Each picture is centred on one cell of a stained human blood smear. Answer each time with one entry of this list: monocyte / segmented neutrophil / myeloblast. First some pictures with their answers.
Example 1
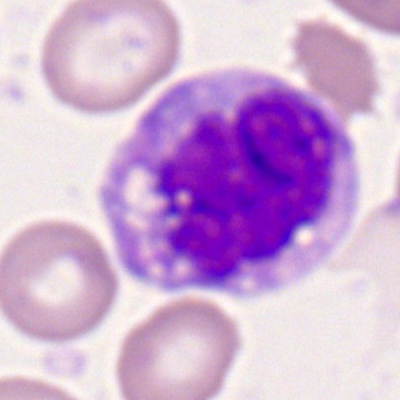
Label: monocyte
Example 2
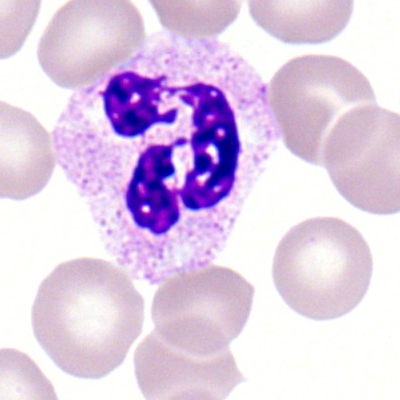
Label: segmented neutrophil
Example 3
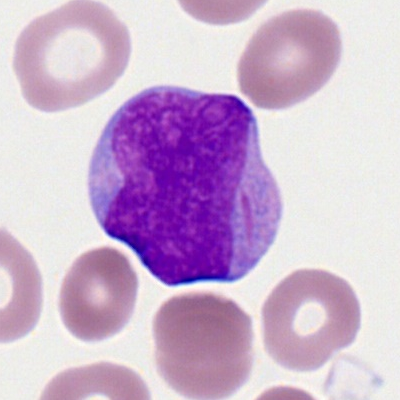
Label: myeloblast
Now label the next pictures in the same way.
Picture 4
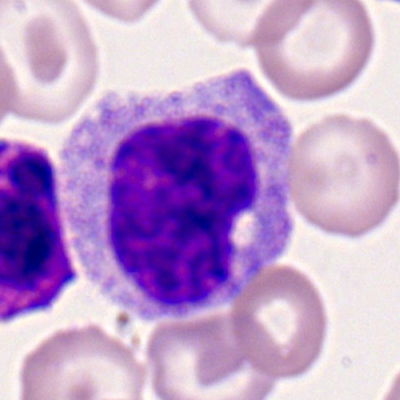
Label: monocyte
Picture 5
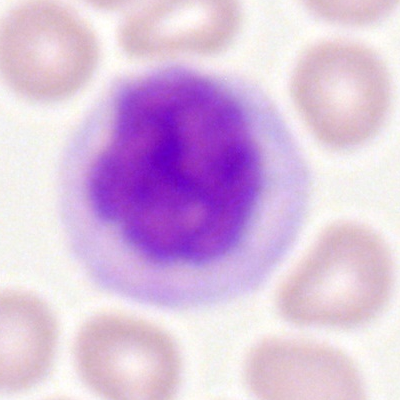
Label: monocyte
